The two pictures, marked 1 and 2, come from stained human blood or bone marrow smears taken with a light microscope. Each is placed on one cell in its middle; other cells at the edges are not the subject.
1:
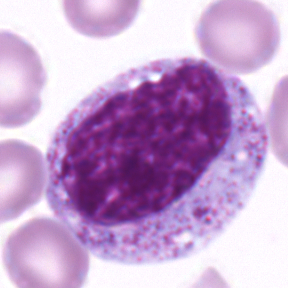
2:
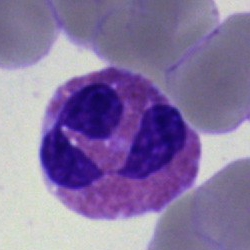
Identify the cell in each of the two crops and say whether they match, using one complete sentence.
No, that is not right; crop 1 shows a promyelocyte and crop 2 shows an eosinophil.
